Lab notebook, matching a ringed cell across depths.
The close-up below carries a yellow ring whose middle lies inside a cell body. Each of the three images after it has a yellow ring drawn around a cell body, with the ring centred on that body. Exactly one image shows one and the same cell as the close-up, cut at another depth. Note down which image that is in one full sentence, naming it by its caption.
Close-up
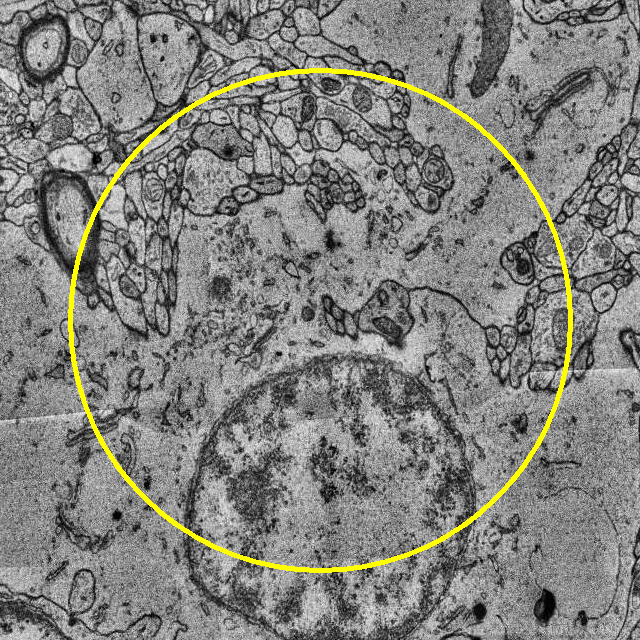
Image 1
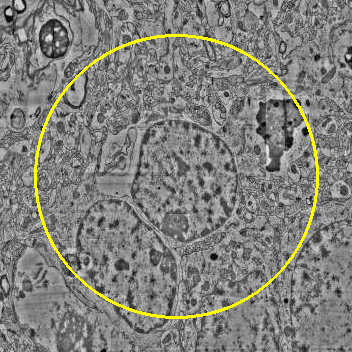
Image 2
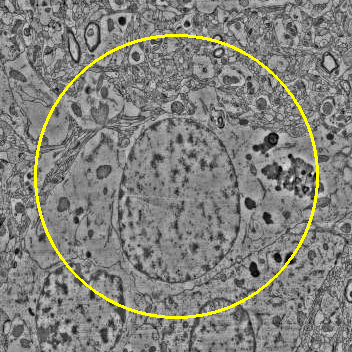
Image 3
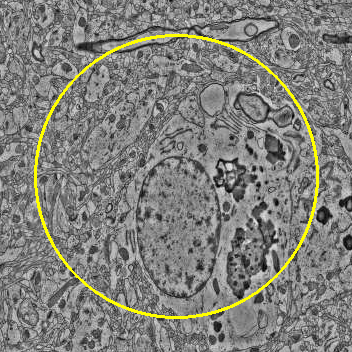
The ring in Image 2 surrounds the cell that the close-up shows.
